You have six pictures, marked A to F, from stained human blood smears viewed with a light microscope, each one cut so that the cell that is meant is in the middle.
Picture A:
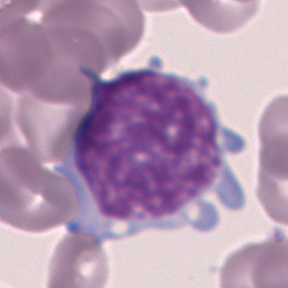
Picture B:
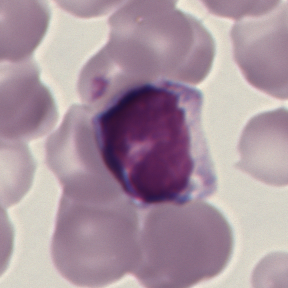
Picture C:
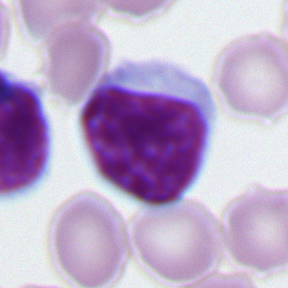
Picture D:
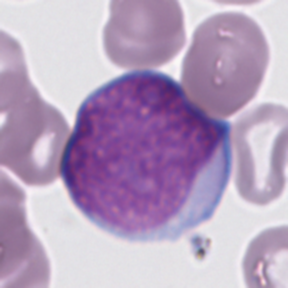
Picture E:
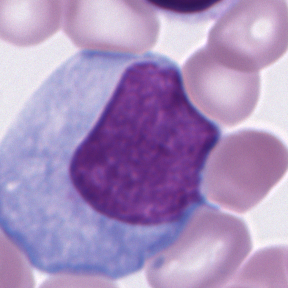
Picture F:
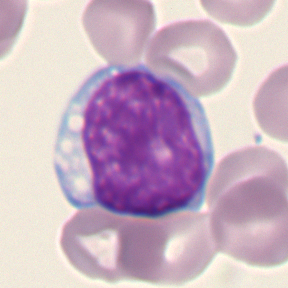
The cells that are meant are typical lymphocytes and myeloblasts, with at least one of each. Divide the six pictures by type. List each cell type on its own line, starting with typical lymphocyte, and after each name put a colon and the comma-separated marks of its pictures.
typical lymphocyte: B, C
myeloblast: A, D, E, F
